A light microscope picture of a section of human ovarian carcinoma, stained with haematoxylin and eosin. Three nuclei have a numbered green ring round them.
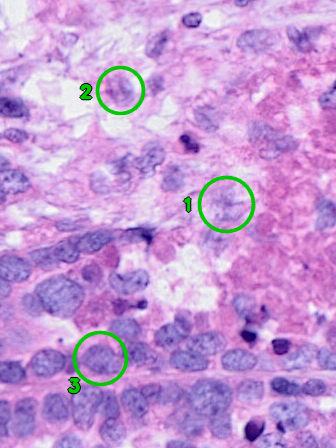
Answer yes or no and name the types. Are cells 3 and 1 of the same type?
No, classify cell 3 as a carcinoma cell and cell 1 as a fibroblast.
